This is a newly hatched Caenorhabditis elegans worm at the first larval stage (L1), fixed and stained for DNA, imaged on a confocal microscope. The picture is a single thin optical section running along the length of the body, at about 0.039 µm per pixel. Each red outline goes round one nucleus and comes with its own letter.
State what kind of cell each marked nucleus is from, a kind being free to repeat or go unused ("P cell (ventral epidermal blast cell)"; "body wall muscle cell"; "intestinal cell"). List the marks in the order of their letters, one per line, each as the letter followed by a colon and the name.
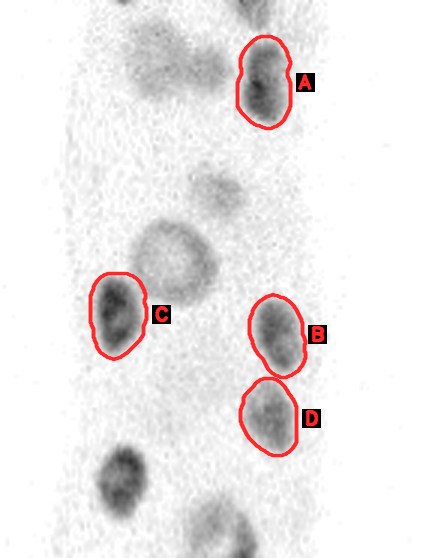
A: body wall muscle cell
B: body wall muscle cell
C: body wall muscle cell
D: P cell (ventral epidermal blast cell)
